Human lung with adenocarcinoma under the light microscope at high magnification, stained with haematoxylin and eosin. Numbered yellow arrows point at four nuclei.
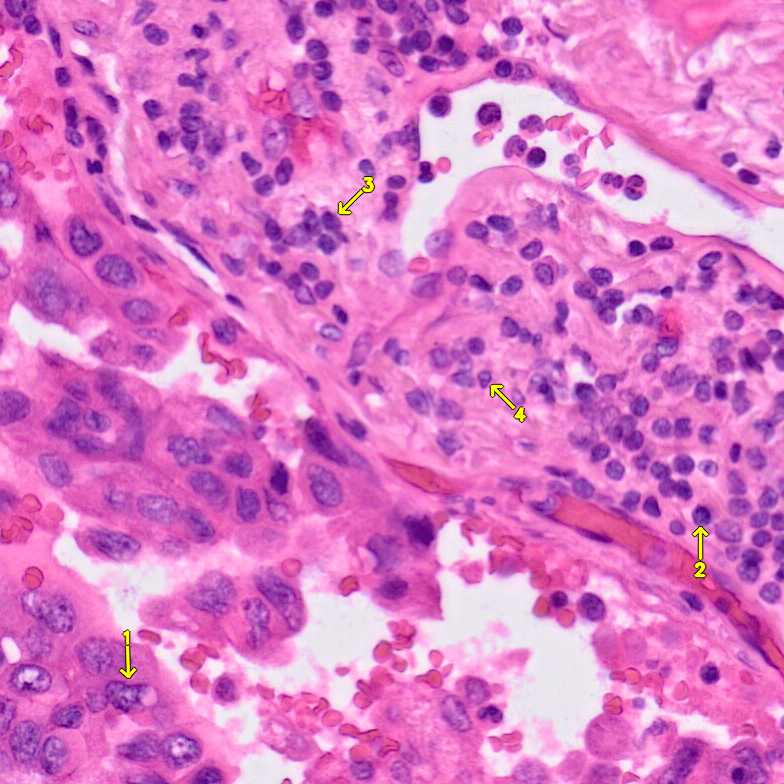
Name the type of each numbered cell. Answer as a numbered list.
1. carcinoma cell
2. lymphocyte
3. lymphocyte
4. lymphocyte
